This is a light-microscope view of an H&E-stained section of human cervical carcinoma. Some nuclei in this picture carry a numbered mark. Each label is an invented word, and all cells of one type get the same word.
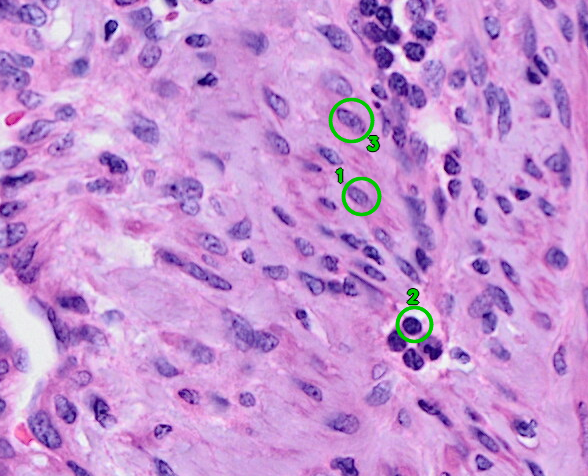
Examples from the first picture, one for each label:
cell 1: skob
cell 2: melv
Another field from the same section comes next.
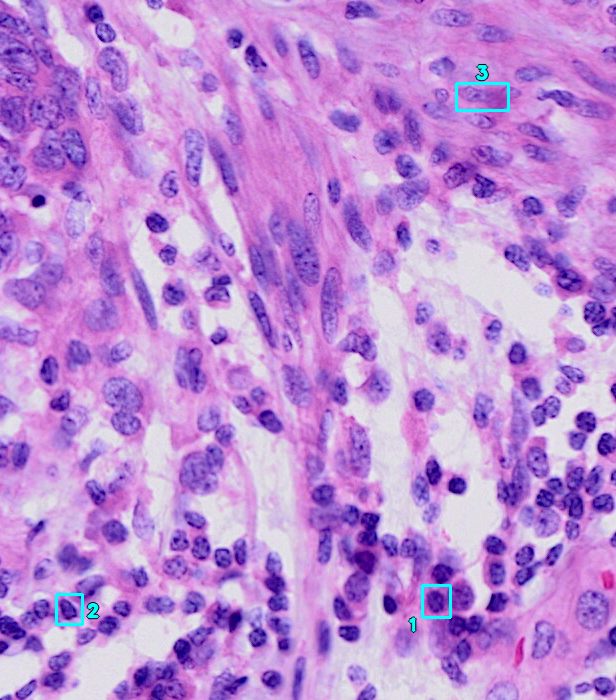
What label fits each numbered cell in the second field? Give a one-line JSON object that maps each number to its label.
{"1": "melv", "2": "melv", "3": "skob"}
